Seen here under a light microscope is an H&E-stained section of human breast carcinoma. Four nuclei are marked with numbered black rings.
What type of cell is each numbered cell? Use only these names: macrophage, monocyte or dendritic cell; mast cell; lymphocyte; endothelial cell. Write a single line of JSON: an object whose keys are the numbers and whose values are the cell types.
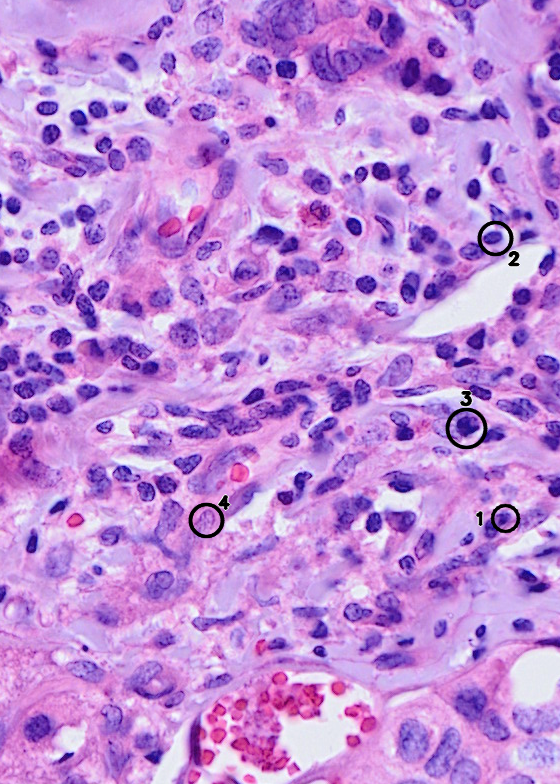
{"1": "lymphocyte", "2": "lymphocyte", "3": "lymphocyte", "4": "endothelial cell"}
